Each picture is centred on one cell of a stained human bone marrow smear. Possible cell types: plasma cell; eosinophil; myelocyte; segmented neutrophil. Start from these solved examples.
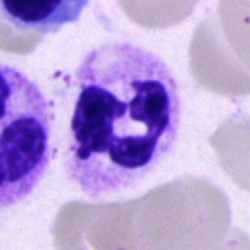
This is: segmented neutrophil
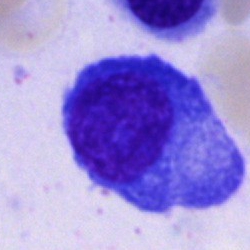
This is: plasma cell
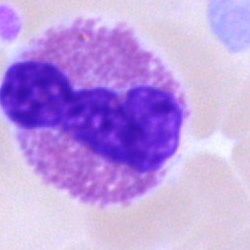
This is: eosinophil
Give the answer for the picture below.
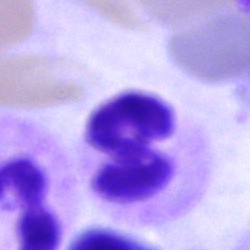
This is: segmented neutrophil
